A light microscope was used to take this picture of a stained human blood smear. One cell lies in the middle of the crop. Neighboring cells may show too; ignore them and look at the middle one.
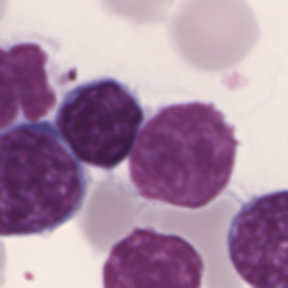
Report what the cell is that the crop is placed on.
myeloblast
